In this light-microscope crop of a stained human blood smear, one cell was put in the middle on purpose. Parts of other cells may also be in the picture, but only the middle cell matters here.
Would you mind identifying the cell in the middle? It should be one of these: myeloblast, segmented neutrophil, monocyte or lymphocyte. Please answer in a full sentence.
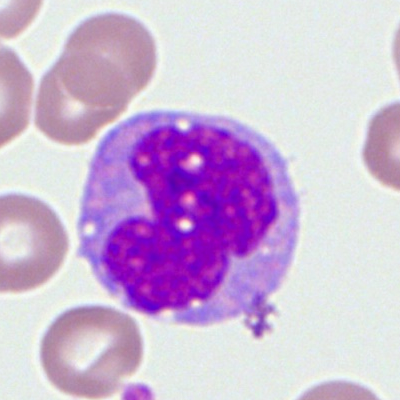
The cell marked by its central position in the crop is a monocyte.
